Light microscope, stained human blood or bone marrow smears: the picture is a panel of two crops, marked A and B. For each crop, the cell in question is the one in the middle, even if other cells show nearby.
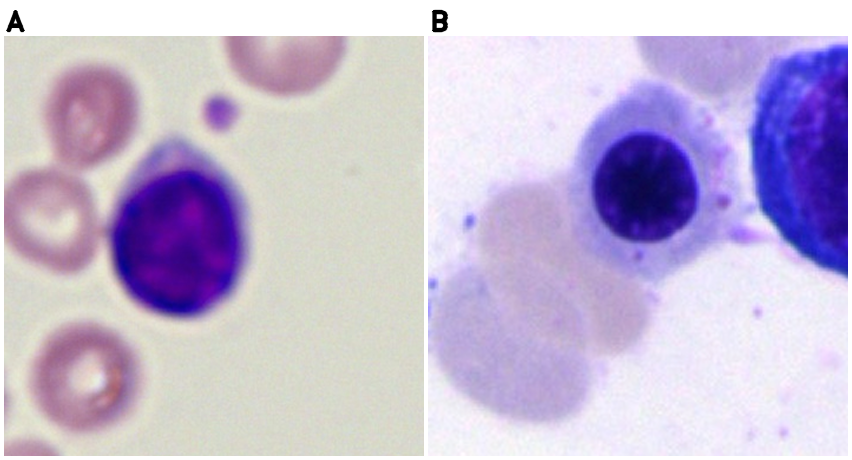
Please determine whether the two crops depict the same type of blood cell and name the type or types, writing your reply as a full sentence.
No, while a lymphocyte is found in crop A, an erythroblast is found in crop B.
